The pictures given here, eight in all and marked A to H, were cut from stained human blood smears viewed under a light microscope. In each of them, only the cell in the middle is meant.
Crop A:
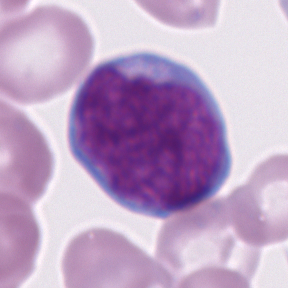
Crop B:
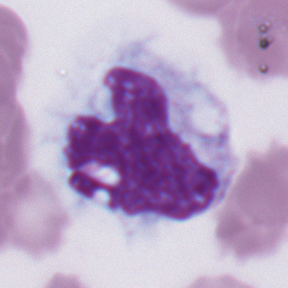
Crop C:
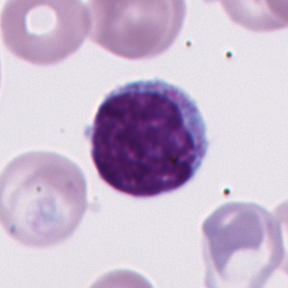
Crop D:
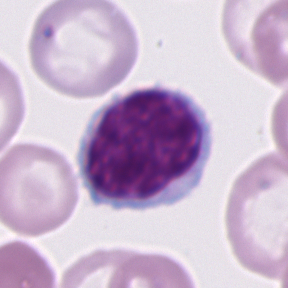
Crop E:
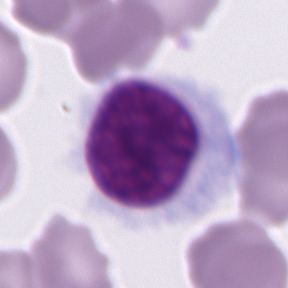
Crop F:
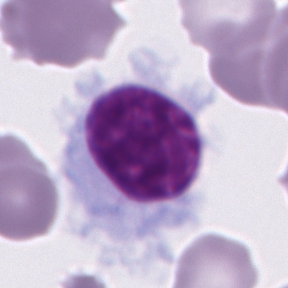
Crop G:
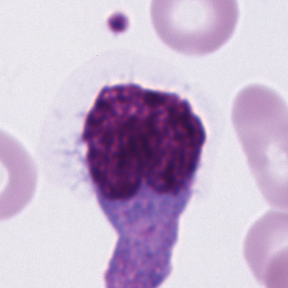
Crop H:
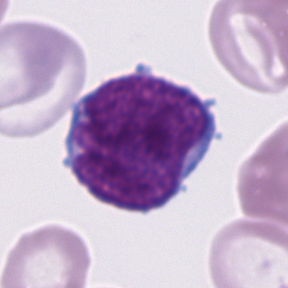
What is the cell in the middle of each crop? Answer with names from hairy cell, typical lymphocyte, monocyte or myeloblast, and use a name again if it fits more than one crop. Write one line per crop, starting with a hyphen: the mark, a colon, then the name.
- A: myeloblast
- B: monocyte
- C: typical lymphocyte
- D: typical lymphocyte
- E: hairy cell
- F: hairy cell
- G: monocyte
- H: myeloblast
